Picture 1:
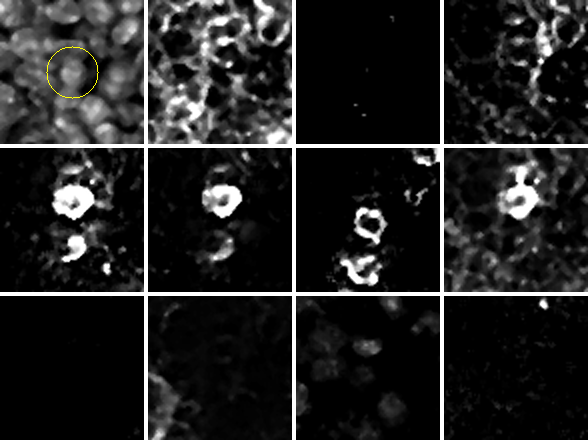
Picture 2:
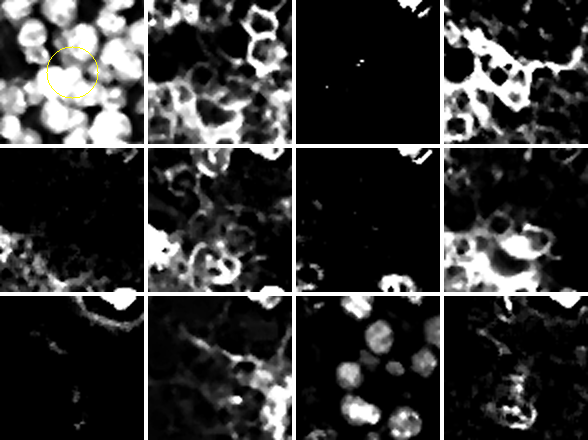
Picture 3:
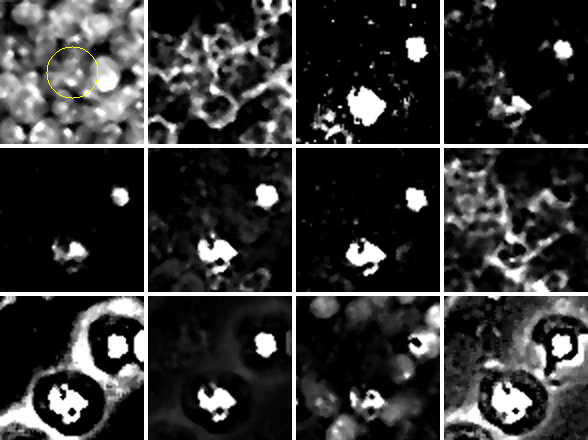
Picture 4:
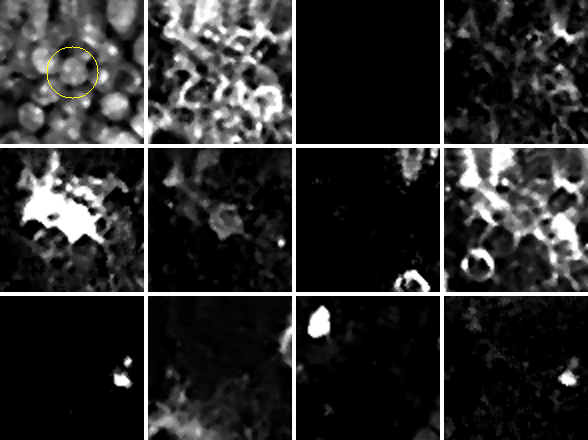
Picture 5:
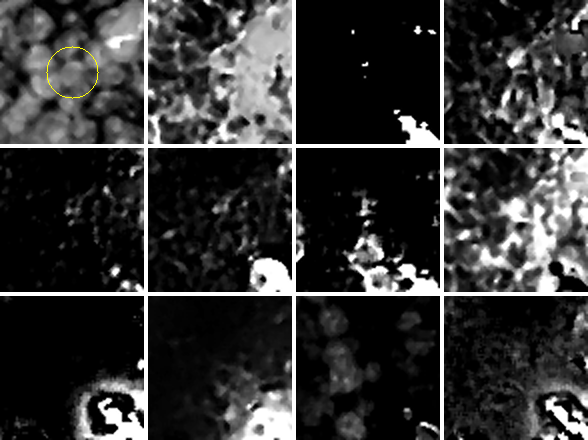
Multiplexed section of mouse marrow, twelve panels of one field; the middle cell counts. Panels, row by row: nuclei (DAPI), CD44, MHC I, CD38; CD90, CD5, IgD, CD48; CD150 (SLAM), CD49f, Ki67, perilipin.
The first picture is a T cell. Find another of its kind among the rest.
Picture 4.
